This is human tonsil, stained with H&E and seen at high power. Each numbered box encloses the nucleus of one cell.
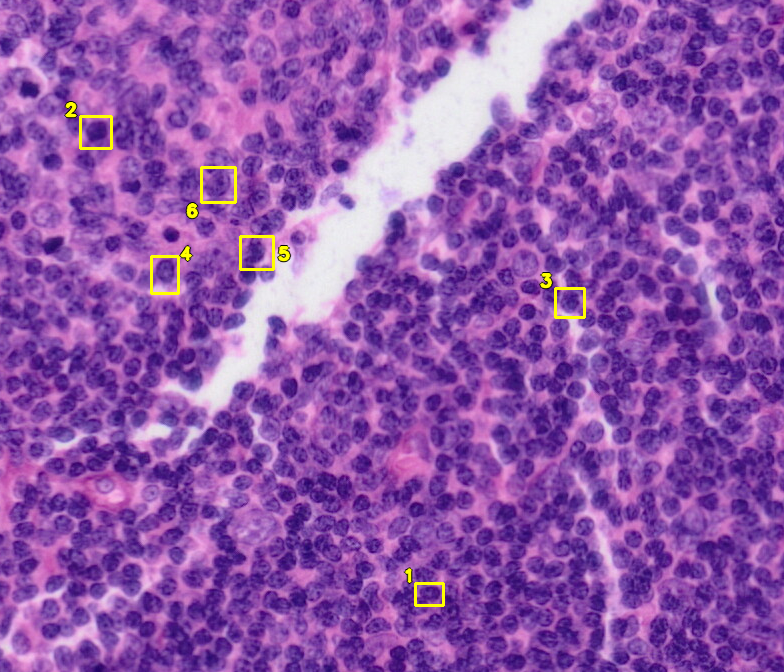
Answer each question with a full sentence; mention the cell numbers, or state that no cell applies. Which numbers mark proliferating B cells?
The cells with the number labels 2, 4, 5 and 6 are proliferating B cells.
